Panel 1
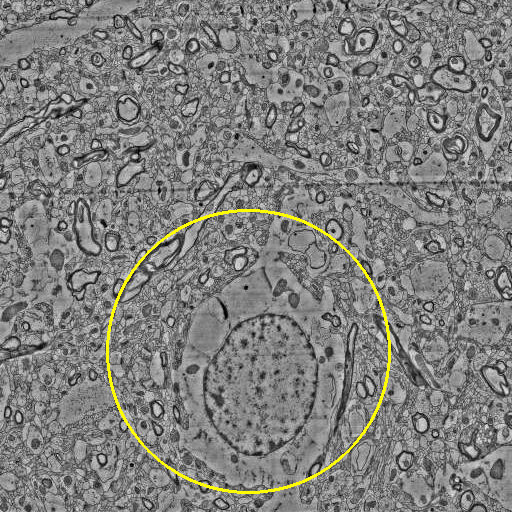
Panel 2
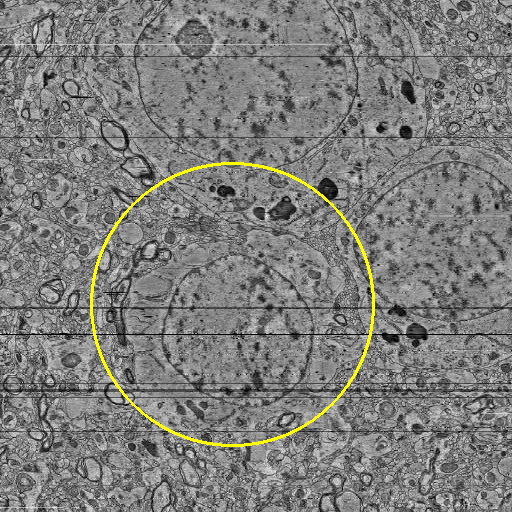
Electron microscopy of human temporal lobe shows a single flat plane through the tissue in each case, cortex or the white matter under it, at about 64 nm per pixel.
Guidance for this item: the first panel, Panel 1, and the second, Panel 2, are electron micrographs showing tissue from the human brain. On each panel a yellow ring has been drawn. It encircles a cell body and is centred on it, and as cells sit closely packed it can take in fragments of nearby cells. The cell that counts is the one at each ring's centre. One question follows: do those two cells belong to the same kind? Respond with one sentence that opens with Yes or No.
Yes, the cells at the ring centres in Panel 1 and Panel 2 are of one kind.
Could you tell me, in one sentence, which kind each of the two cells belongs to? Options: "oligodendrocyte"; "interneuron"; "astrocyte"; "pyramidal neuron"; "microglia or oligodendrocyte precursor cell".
The first and the second cell are each an astrocyte.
